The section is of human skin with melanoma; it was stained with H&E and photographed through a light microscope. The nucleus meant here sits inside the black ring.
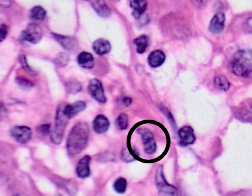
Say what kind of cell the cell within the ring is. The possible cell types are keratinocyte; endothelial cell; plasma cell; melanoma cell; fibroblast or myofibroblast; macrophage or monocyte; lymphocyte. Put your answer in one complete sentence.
The identity of the cell within the ring is that of a lymphocyte.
